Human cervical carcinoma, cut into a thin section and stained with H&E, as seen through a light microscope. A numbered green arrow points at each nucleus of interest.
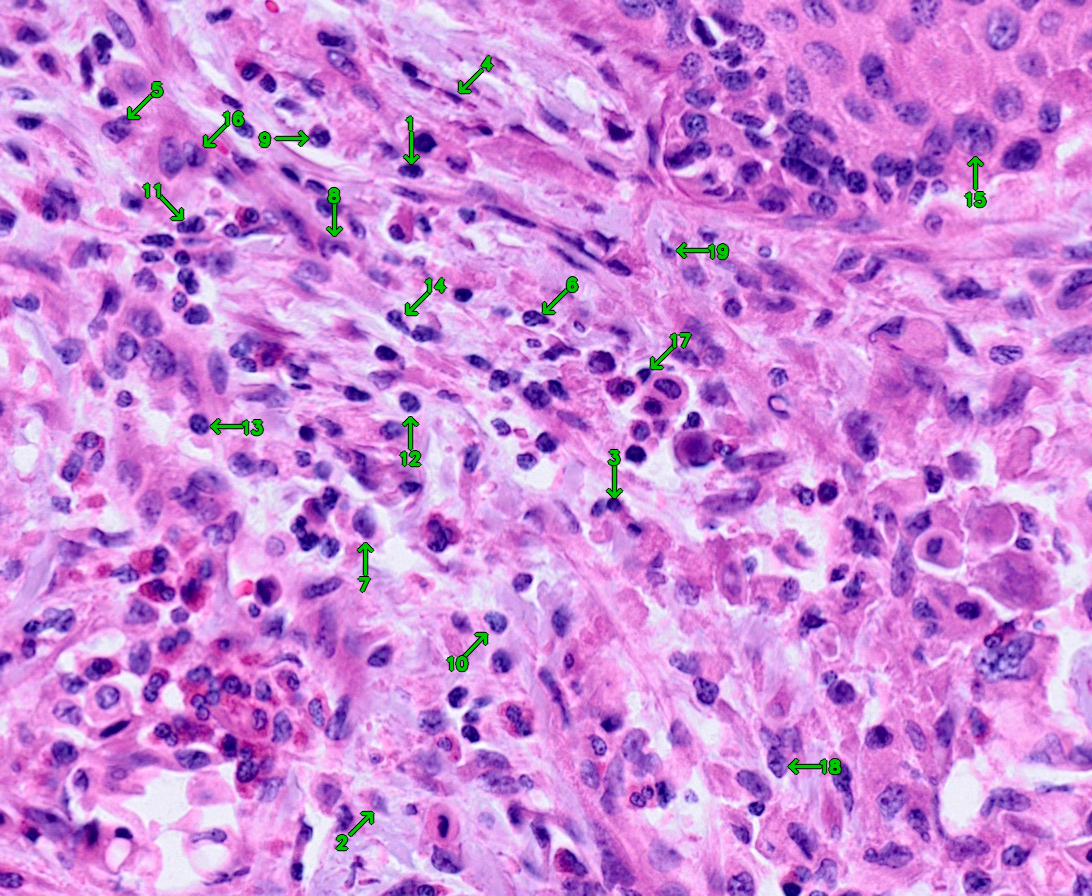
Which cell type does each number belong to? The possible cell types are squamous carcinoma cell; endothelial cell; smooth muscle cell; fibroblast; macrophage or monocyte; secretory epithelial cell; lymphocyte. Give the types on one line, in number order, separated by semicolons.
lymphocyte; fibroblast; lymphocyte; fibroblast; macrophage or monocyte; lymphocyte; macrophage or monocyte; endothelial cell; lymphocyte; lymphocyte; lymphocyte; lymphocyte; lymphocyte; lymphocyte; squamous carcinoma cell; endothelial cell; lymphocyte; macrophage or monocyte; fibroblast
